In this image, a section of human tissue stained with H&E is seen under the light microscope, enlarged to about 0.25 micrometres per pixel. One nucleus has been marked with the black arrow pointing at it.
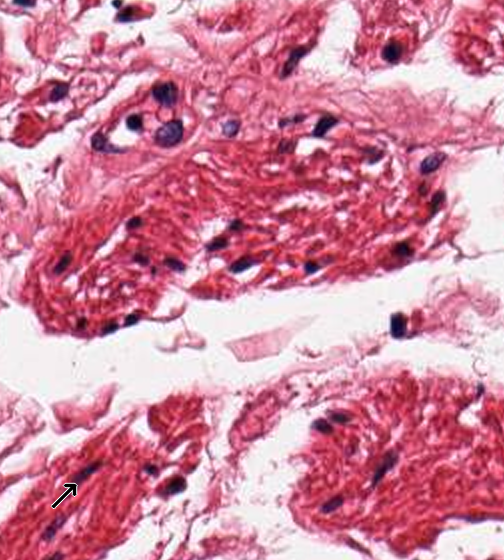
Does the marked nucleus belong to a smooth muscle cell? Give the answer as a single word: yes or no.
yes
